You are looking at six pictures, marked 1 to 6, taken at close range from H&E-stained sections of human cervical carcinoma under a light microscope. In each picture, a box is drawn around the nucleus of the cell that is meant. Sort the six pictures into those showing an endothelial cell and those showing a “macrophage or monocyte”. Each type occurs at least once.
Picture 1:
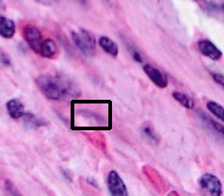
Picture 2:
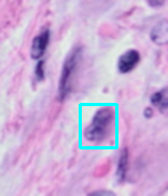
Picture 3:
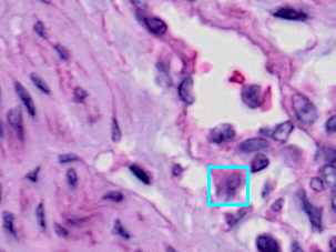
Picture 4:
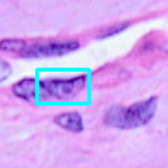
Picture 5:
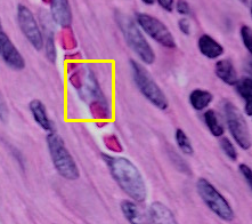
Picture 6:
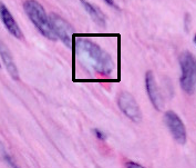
1: endothelial cell
2: macrophage or monocyte
3: macrophage or monocyte
4: endothelial cell
5: endothelial cell
6: endothelial cell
